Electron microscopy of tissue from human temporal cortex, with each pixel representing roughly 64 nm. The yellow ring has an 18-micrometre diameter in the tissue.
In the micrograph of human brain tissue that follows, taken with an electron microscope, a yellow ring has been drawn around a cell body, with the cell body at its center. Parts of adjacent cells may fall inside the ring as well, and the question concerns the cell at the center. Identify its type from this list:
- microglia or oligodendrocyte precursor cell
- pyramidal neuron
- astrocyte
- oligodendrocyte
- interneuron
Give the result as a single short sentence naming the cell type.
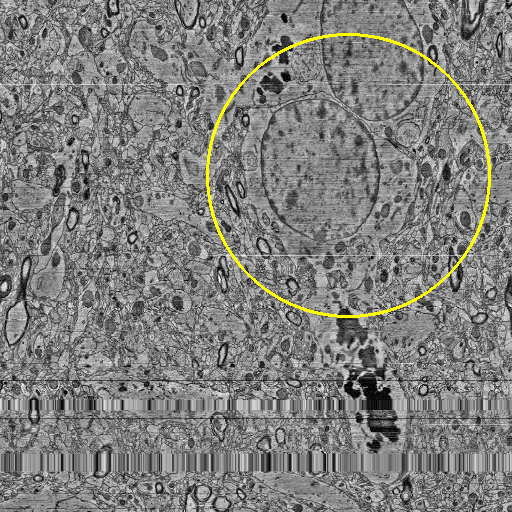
The ring is centered on an astrocyte.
